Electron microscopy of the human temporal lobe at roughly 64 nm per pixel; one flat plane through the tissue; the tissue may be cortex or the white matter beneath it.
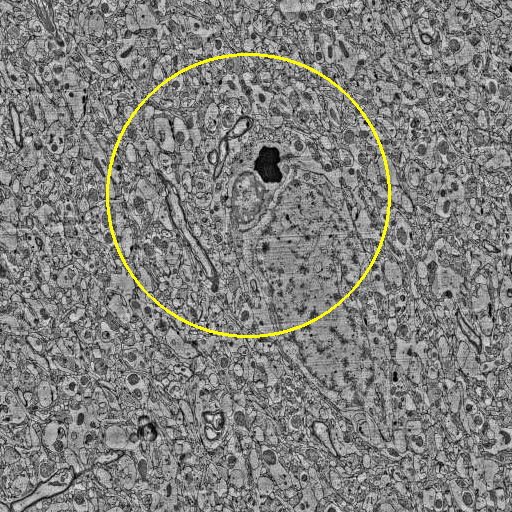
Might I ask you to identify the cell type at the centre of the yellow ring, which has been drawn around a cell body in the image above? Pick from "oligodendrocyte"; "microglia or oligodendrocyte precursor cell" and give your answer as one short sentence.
The centre of the ring falls on an oligodendrocyte.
